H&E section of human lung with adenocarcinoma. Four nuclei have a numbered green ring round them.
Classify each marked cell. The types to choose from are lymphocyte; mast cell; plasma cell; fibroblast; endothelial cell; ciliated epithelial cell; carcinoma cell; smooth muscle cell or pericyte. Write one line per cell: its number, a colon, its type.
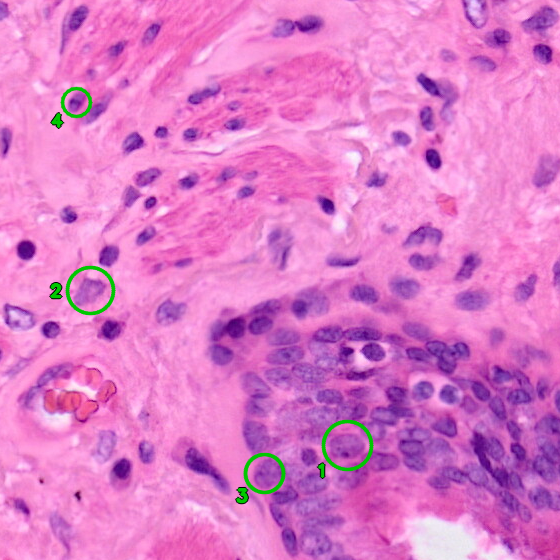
1: ciliated epithelial cell
2: fibroblast
3: ciliated epithelial cell
4: smooth muscle cell or pericyte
